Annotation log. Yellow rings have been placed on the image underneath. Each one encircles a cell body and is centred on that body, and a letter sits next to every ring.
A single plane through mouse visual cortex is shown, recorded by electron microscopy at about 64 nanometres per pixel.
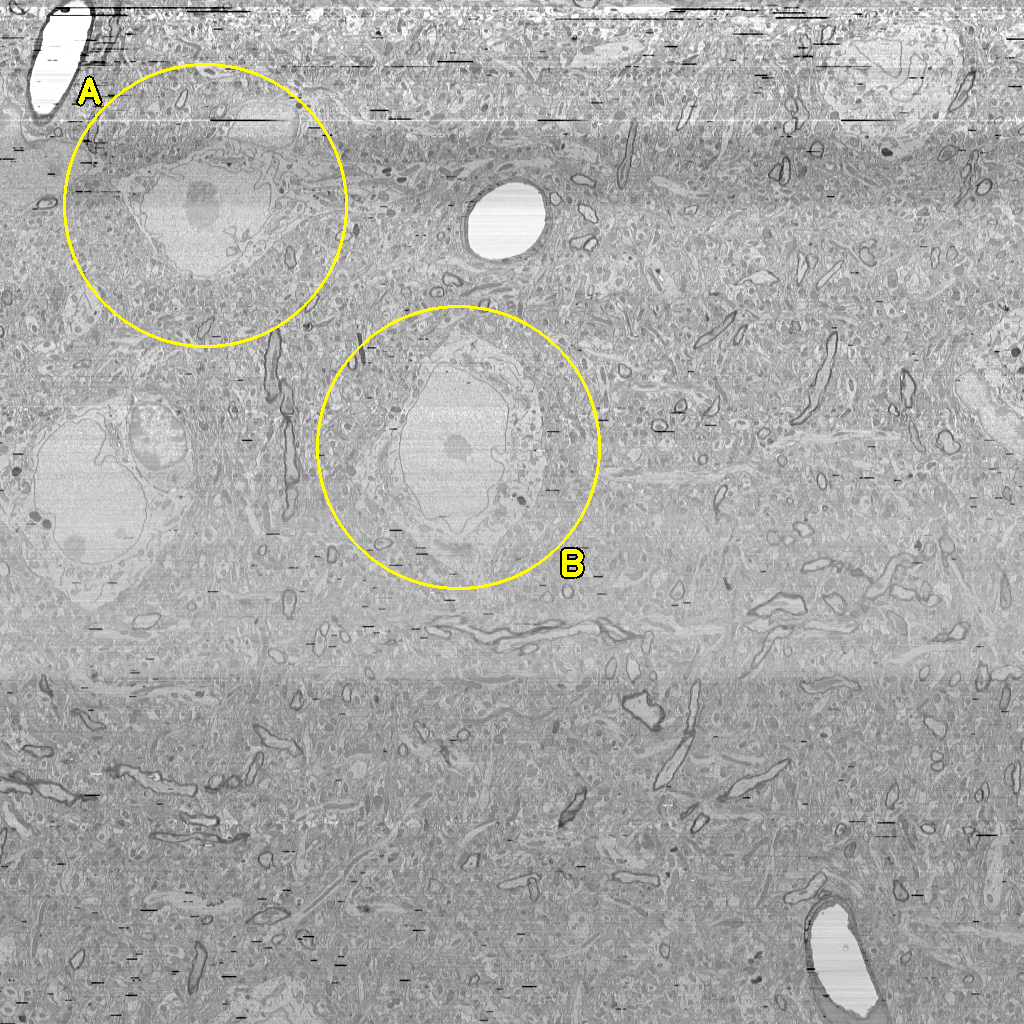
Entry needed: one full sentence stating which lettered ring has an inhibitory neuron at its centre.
The cell asked for sits at the centre of Ring A in the picture.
